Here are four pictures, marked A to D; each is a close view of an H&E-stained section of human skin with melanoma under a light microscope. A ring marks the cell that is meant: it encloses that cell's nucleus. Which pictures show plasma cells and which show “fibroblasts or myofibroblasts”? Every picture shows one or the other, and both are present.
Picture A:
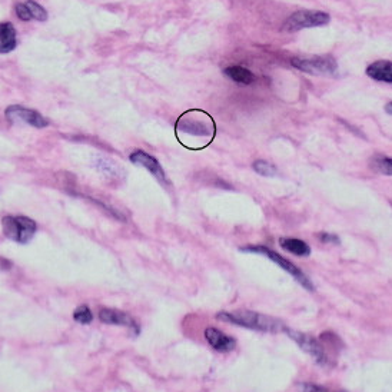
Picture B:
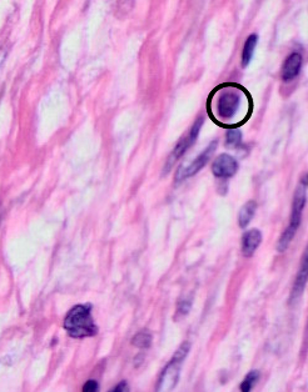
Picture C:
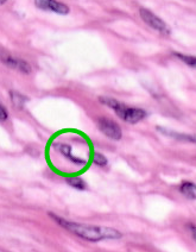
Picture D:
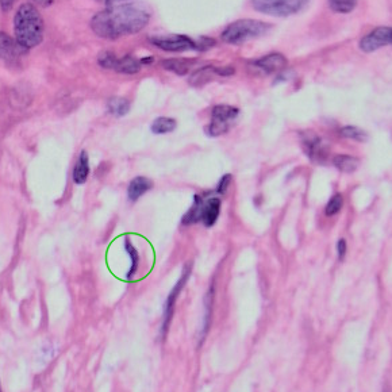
A: fibroblast or myofibroblast
B: plasma cell
C: fibroblast or myofibroblast
D: fibroblast or myofibroblast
